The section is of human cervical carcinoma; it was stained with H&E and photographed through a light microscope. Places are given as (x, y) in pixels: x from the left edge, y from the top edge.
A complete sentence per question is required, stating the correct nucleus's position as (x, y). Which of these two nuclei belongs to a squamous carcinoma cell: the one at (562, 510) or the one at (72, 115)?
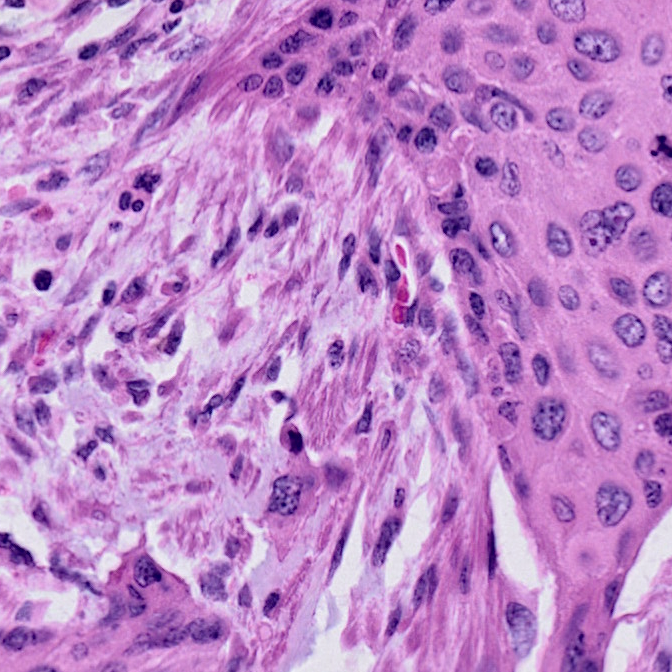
Located at (562, 510), this nucleus is the one belonging to a squamous carcinoma cell.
